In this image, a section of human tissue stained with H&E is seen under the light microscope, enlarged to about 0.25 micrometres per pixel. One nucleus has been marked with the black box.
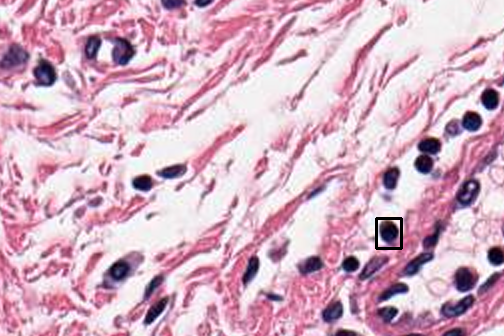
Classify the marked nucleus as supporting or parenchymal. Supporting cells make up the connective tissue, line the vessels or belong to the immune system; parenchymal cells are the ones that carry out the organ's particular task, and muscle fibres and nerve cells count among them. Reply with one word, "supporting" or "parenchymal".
supporting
